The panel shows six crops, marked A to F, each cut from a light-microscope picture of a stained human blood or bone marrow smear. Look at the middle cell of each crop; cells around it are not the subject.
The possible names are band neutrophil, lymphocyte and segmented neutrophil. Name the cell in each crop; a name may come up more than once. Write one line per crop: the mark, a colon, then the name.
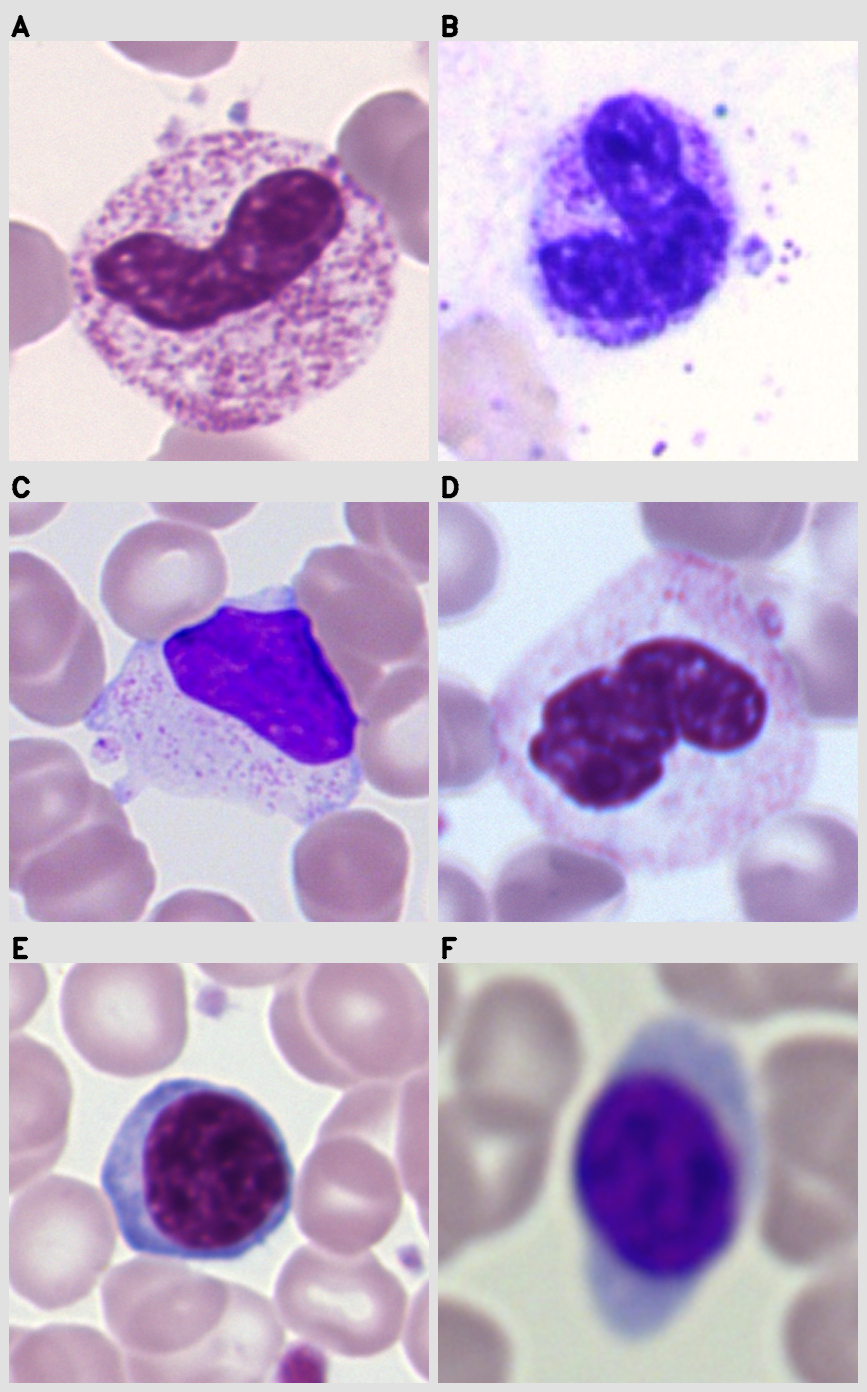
A: band neutrophil
B: band neutrophil
C: lymphocyte
D: segmented neutrophil
E: lymphocyte
F: lymphocyte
